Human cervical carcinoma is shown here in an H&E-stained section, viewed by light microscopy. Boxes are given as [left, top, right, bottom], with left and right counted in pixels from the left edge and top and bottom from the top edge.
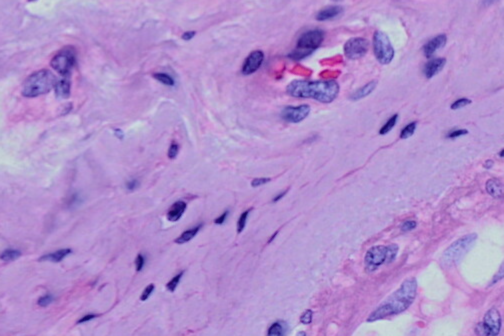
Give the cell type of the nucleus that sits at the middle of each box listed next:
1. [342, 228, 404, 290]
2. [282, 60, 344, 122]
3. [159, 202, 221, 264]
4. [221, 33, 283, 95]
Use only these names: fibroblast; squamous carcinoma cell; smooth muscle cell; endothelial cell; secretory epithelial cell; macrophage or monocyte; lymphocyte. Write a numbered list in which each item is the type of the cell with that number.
1. smooth muscle cell
2. endothelial cell
3. fibroblast
4. endothelial cell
